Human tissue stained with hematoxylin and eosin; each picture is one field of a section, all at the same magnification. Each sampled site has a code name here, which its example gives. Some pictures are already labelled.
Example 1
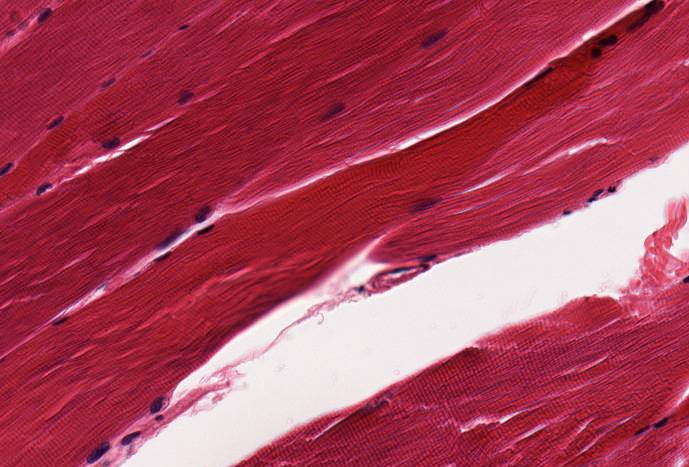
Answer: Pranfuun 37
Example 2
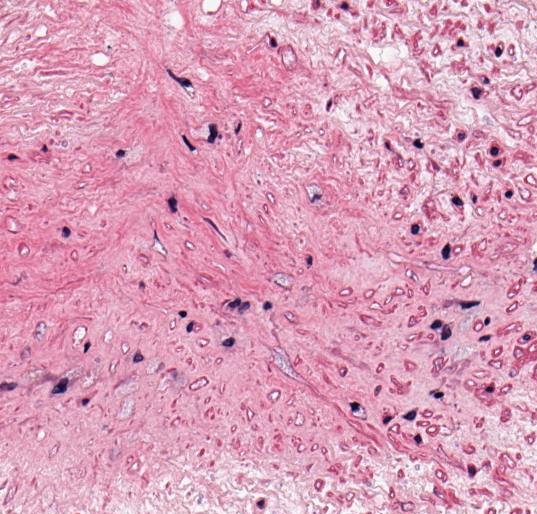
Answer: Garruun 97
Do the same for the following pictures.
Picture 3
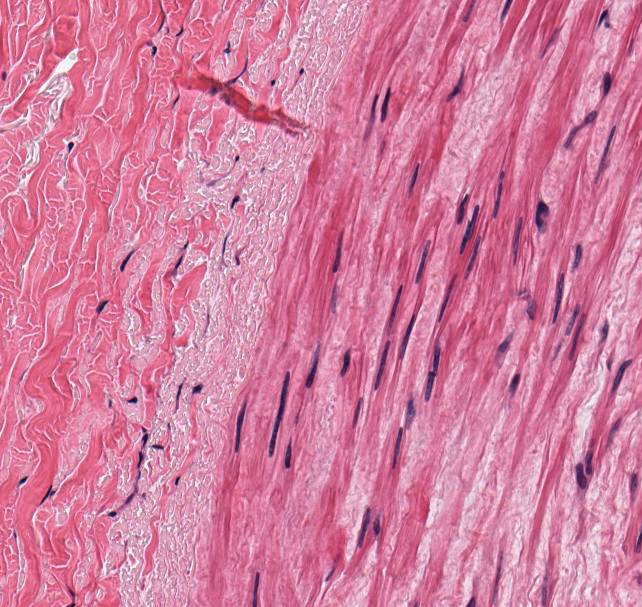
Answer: Garruun 97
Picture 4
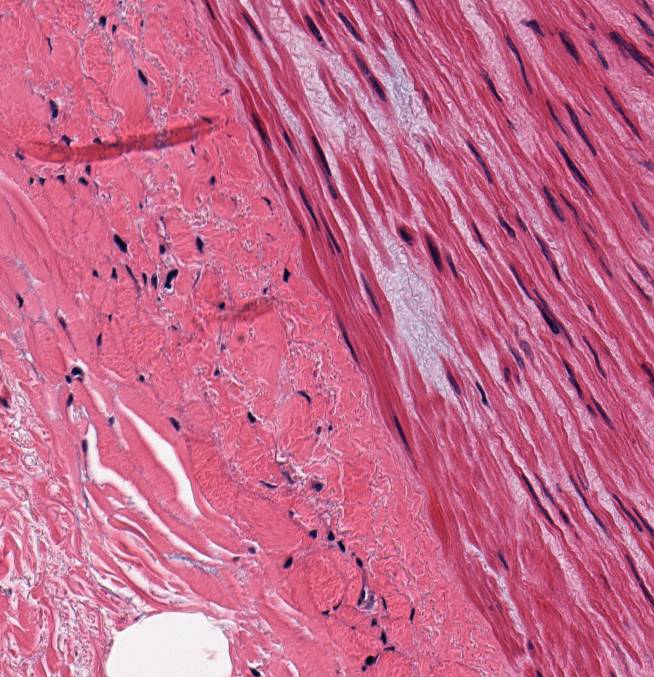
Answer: Garruun 97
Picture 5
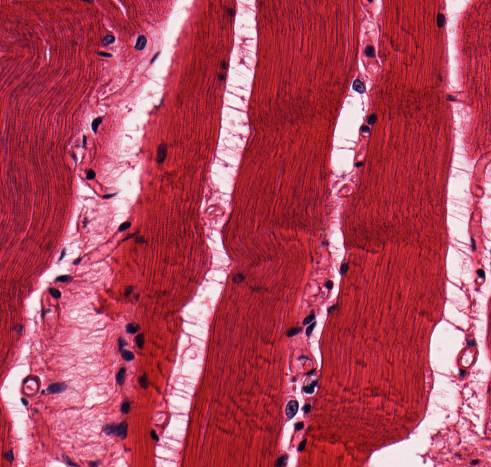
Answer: Pranfuun 37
